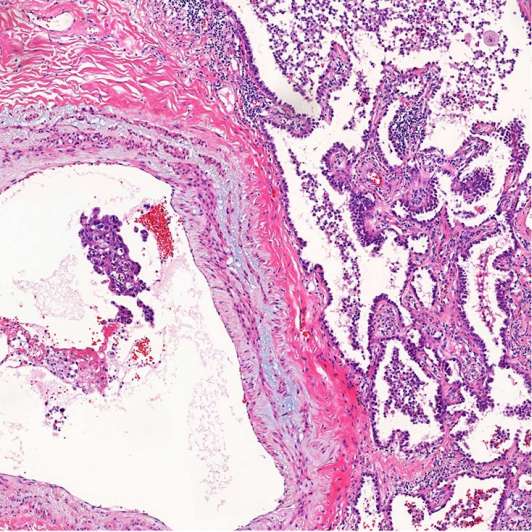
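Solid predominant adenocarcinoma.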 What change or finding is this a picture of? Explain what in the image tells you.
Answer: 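Vascular invasion. A large vessel with a thick layered pink wall lies on the left. A cluster of dark-nucleated tumor cells floats within the vessel lumen beside red blood cells. Tumor glands and papillary structures lie just outside the vessel wall.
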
